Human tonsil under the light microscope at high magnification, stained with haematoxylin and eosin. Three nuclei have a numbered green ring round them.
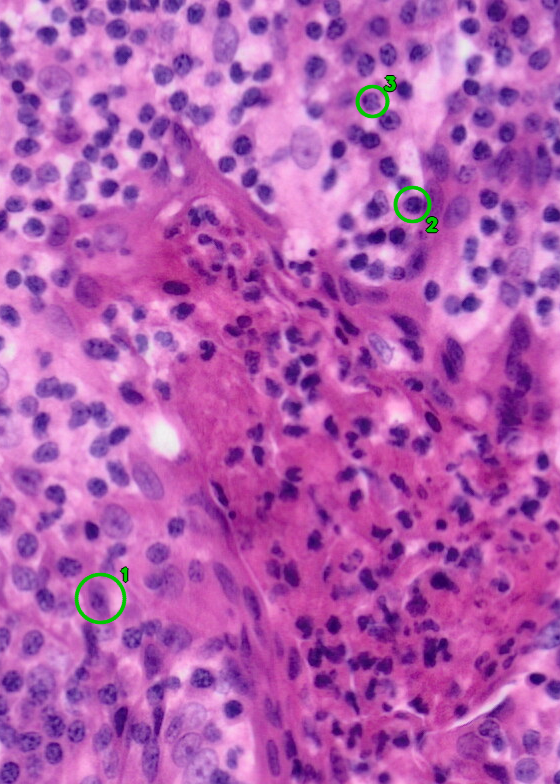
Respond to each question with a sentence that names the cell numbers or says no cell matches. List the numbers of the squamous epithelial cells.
Cell 1 is a squamous epithelial cell, while every other numbered cell is not.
